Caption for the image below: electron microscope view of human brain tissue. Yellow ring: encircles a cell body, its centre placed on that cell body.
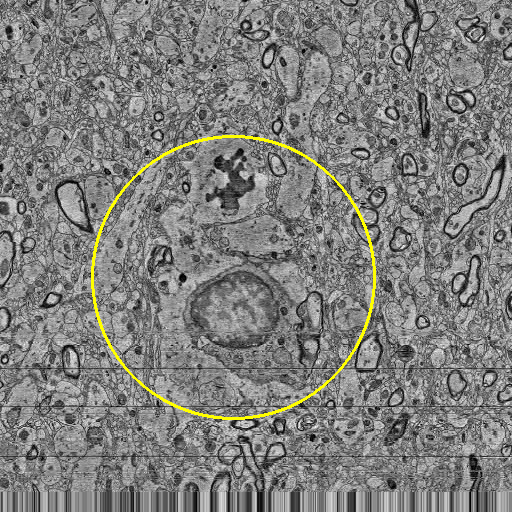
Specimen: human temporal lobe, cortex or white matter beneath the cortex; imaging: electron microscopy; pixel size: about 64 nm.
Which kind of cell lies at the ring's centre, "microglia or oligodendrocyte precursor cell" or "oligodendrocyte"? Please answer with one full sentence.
The picture shows an oligodendrocyte at the centre of the yellow ring.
